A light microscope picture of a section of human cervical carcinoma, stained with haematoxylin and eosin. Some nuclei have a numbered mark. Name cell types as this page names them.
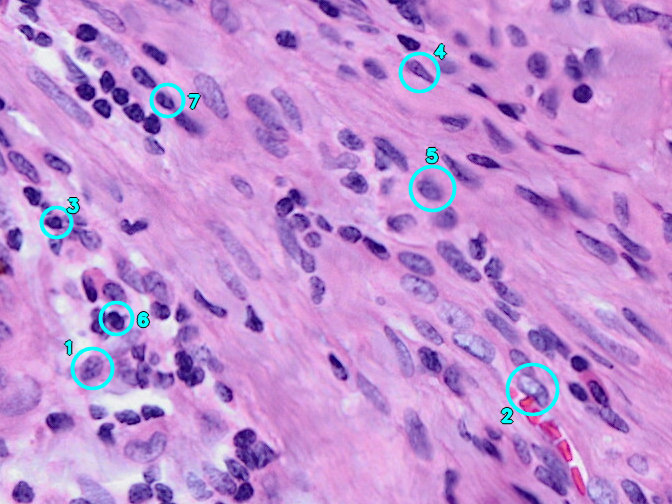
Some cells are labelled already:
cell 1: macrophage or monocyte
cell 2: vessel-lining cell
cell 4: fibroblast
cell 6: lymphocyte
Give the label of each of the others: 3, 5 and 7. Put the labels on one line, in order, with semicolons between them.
lymphocyte; fibroblast; lymphocyte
